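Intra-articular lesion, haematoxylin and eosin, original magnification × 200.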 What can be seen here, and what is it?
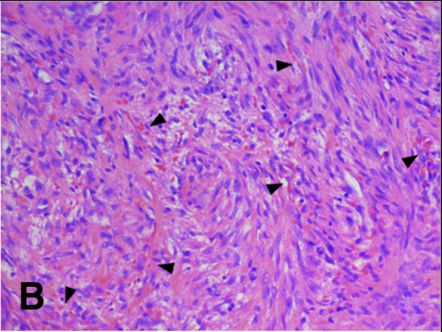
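Fibroblastic tumour tissue made of plump spindle cells with oval to elongated, fairly uniform purple nuclei. The cells run in loose, crossing fascicles within a pink fibrillary stroma, giving a loose, tissue-culture-like look. Small red erythrocytes lie free in the stroma between the cells throughout the field.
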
